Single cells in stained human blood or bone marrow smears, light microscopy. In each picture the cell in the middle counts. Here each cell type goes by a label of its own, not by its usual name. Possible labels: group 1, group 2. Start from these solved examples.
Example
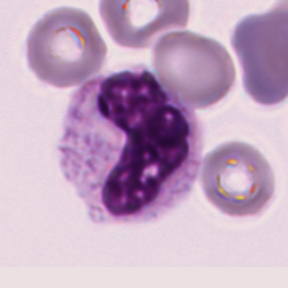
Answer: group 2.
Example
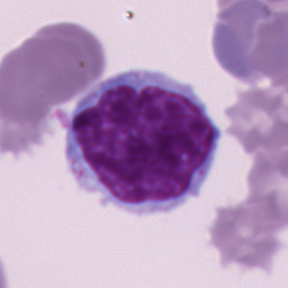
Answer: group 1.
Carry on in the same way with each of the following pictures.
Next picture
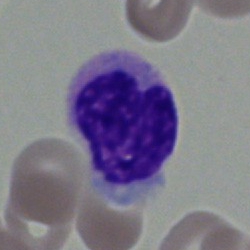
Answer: group 2.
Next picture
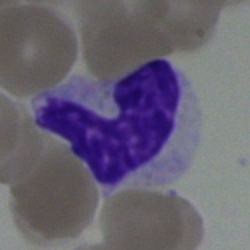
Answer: group 2.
